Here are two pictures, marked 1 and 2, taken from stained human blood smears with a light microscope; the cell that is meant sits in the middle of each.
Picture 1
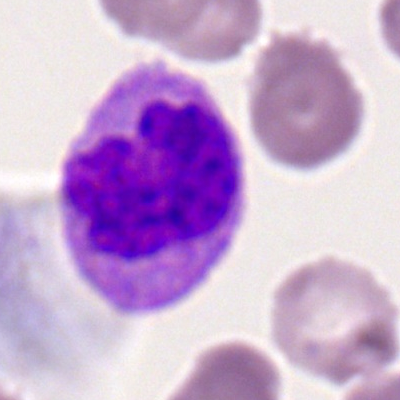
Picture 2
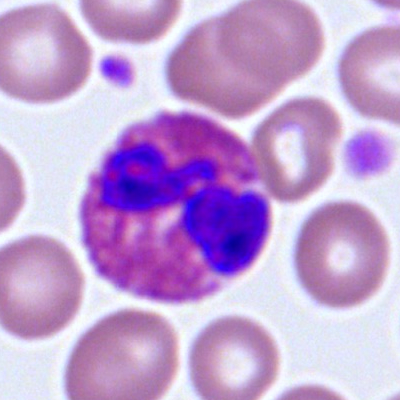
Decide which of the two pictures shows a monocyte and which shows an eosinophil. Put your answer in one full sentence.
The cell in picture 1 is a monocyte, and the one in picture 2 is an eosinophil.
